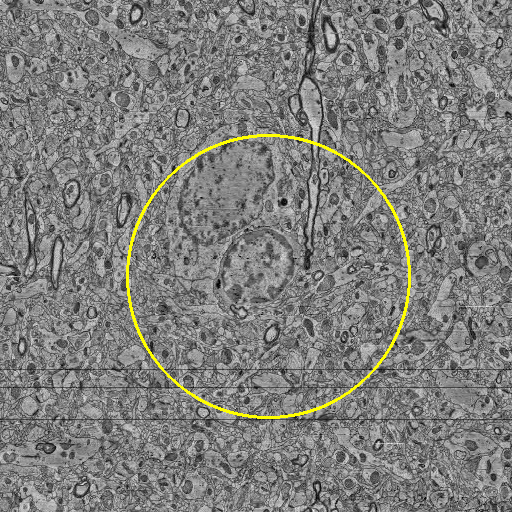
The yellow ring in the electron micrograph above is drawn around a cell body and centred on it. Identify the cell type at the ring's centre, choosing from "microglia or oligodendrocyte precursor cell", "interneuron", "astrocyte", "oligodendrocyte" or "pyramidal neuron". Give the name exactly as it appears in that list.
oligodendrocyte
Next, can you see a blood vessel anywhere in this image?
No, there is no blood vessel in the image.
